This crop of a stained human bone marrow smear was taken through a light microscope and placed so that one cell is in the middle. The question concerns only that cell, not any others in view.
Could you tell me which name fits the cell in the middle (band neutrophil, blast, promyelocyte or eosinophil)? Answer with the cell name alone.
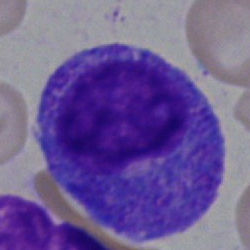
promyelocyte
